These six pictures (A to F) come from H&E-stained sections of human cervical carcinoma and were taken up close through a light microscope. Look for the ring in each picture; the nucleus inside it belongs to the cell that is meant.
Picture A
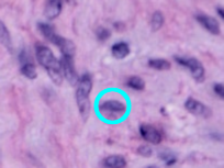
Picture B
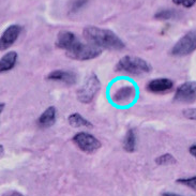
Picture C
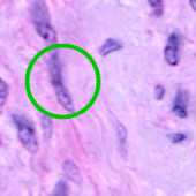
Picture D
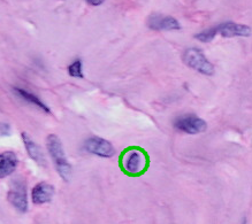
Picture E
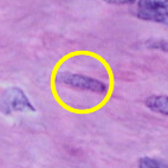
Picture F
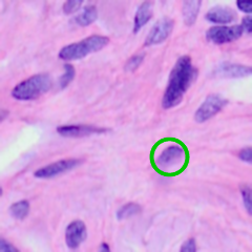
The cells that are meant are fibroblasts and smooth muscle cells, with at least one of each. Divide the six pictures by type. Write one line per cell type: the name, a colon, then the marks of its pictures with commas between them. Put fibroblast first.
fibroblast: B, D, F
smooth muscle cell: A, C, E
